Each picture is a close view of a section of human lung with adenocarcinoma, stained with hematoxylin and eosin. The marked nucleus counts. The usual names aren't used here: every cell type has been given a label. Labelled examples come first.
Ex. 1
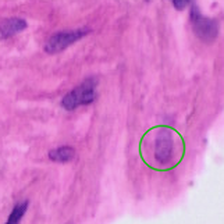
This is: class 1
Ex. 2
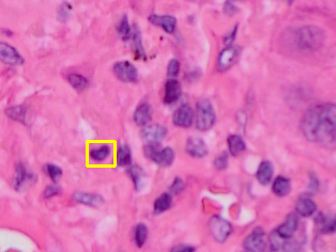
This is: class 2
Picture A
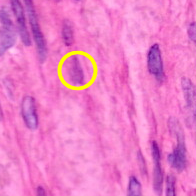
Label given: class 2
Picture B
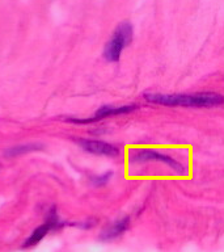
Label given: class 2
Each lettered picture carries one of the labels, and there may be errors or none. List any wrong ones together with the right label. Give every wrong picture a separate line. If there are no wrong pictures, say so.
A: class 1, not class 2
B: class 1, not class 2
